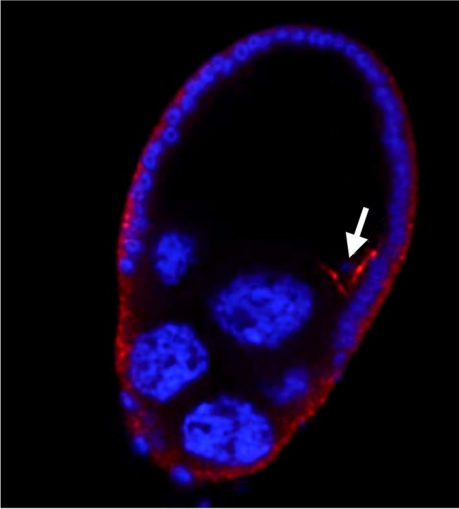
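This is a stage 10 egg chamber, with the large oocyte filling the upper half and a group of nurse cells in the lower half. The nurse cells show big, rounded blue nuclei, much larger than the small nuclei of the follicle cells that form a single thin layer all around the chamber.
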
